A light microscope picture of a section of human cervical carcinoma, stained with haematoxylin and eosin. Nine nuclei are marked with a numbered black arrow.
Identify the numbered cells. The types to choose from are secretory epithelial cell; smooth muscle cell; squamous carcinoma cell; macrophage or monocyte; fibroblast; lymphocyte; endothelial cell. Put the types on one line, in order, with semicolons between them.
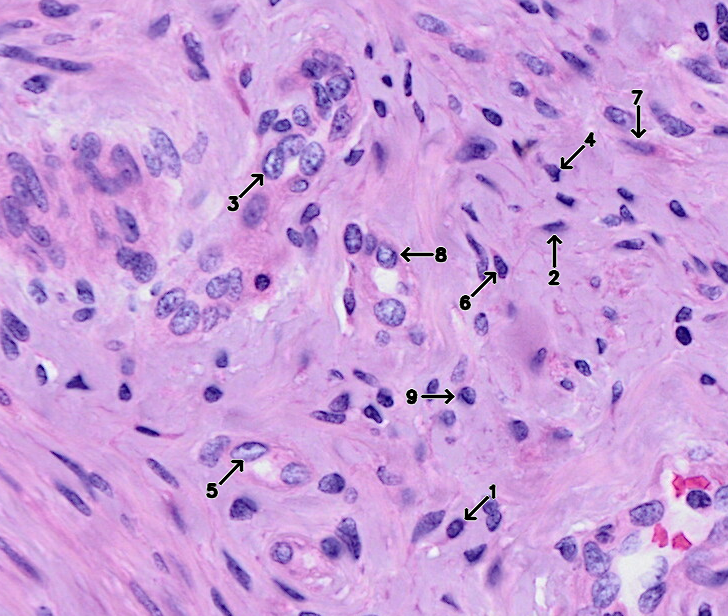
fibroblast; fibroblast; endothelial cell; fibroblast; endothelial cell; fibroblast; smooth muscle cell; endothelial cell; fibroblast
